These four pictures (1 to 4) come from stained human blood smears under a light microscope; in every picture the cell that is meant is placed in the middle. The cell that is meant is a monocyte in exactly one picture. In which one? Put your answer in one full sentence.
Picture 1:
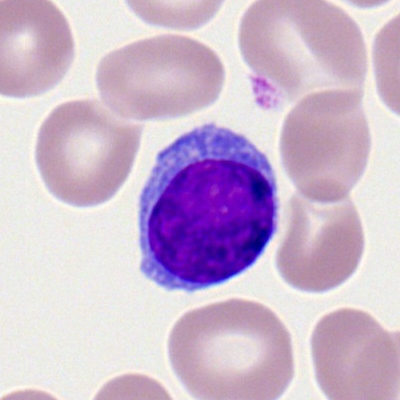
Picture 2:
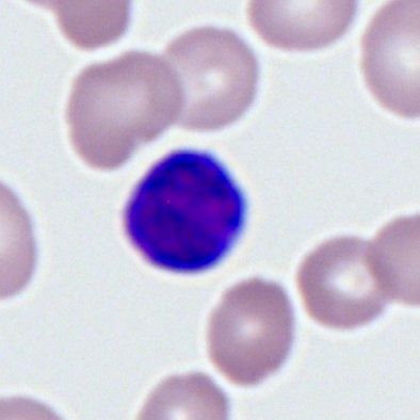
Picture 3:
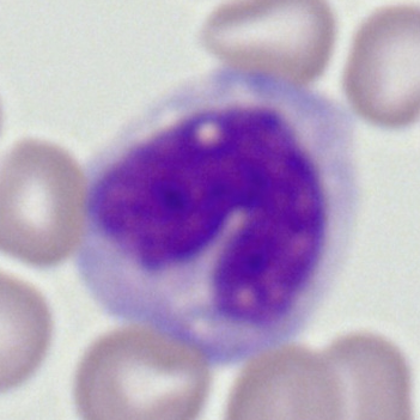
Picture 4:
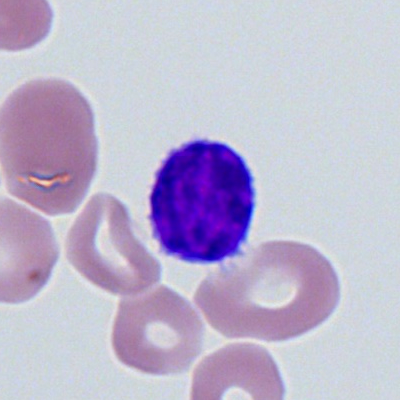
It is picture 3 that shows the monocyte.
